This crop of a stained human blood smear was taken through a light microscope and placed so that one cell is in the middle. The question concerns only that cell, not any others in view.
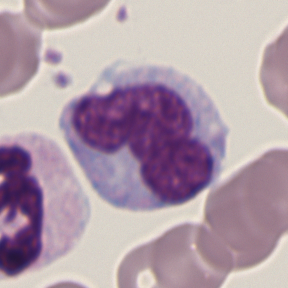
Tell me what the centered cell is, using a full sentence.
The middle position in this crop is taken by a monocyte.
